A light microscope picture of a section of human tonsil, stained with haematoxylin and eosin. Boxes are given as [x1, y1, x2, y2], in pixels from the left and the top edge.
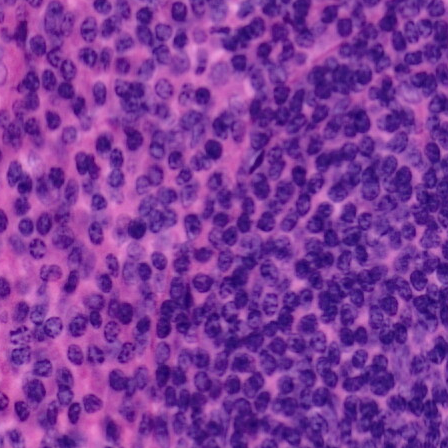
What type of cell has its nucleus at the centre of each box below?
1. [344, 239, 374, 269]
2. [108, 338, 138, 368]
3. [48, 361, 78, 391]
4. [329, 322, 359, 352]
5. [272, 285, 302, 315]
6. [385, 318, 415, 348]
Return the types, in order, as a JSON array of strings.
["small lymphocyte", "plasma cell", "plasma cell", "small lymphocyte", "small lymphocyte", "small lymphocyte"]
